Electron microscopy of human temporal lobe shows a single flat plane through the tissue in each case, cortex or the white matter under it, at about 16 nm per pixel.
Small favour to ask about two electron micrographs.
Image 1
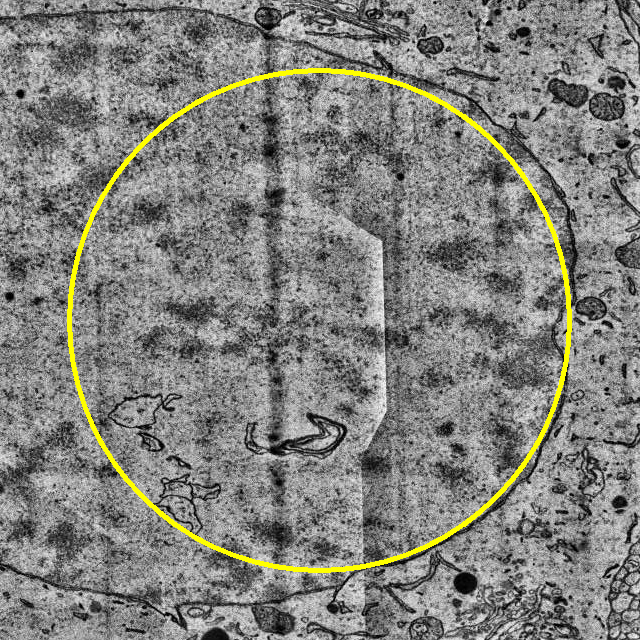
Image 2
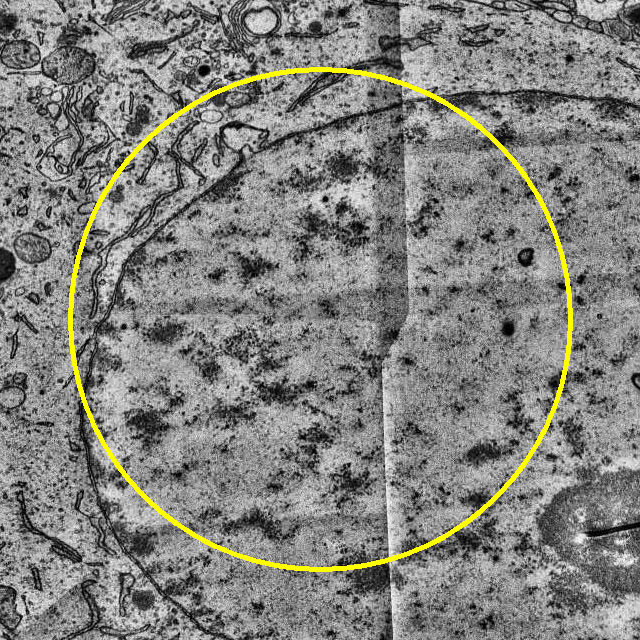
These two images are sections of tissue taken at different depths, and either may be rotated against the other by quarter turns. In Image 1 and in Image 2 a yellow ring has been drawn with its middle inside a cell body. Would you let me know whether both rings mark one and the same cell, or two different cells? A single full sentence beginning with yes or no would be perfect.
No, the marked cells are two, not one.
